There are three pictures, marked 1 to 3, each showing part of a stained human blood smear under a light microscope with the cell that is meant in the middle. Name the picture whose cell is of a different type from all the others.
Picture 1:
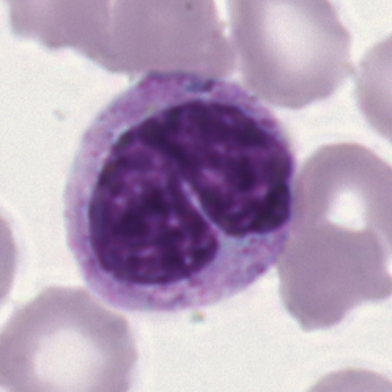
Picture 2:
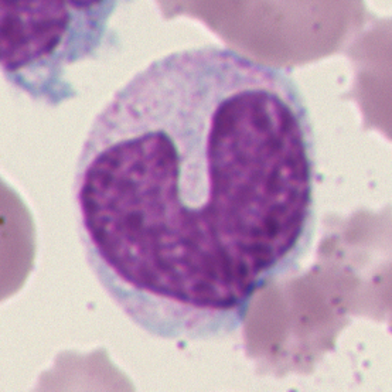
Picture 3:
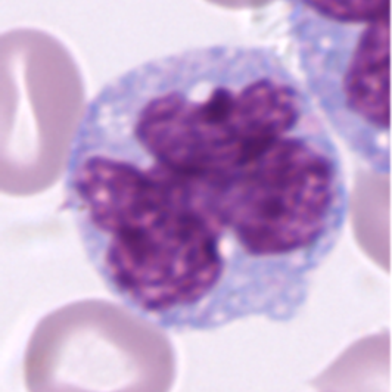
3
